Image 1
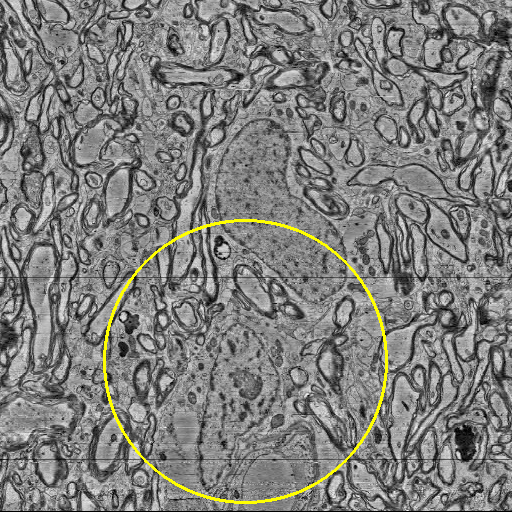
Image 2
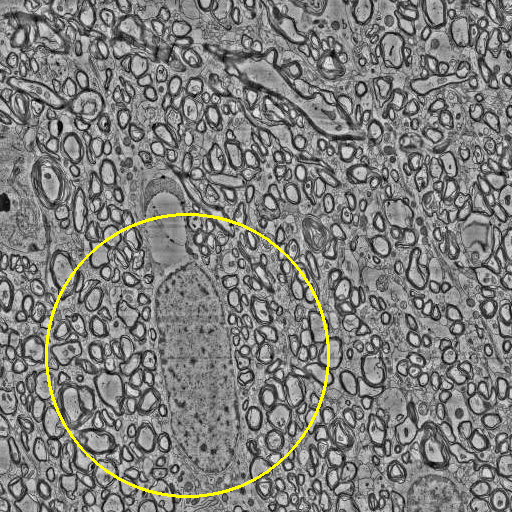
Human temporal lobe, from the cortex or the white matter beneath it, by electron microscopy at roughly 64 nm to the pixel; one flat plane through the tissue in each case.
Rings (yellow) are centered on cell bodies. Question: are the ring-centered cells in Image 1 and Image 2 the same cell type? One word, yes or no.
yes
